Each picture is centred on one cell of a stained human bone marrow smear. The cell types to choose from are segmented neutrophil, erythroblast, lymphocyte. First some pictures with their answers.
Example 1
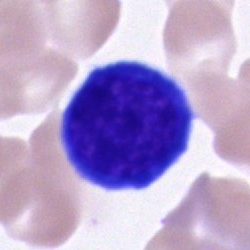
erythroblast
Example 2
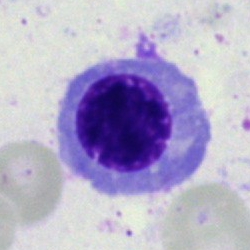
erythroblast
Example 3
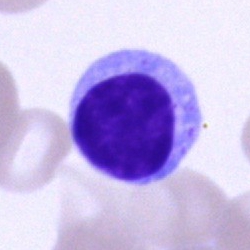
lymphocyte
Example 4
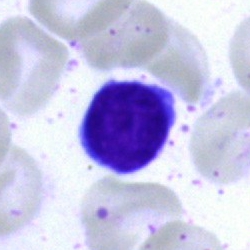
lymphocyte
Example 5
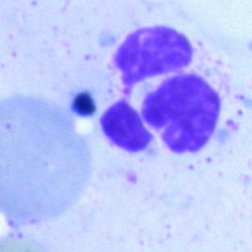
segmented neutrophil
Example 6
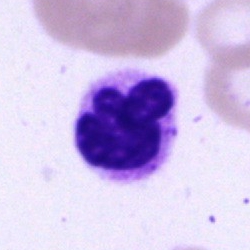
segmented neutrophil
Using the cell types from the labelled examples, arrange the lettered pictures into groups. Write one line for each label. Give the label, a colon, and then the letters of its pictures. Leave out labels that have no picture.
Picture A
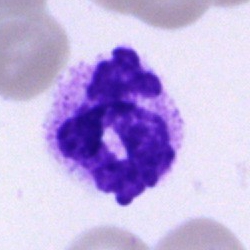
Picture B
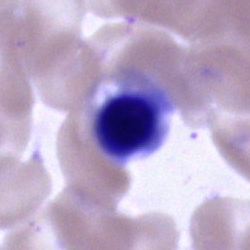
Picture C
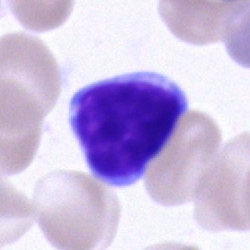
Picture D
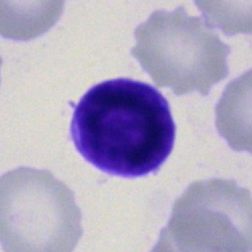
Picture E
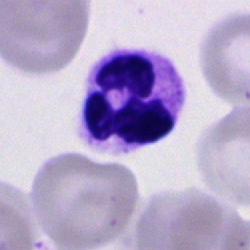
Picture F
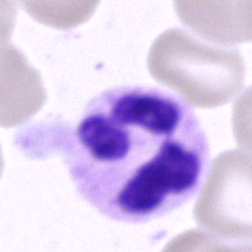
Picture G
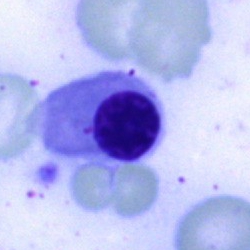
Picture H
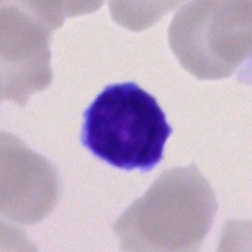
segmented neutrophil: A, E, F
erythroblast: B, G
lymphocyte: C, D, H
